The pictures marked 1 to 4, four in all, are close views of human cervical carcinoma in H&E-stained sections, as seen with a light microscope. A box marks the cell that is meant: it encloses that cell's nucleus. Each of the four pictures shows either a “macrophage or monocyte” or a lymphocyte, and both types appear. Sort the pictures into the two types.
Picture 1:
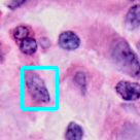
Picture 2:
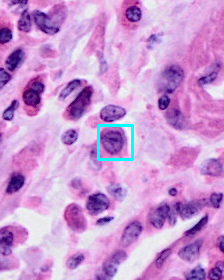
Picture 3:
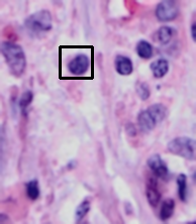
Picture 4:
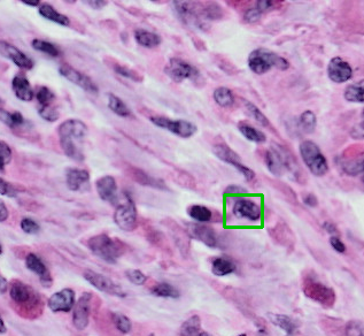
1: macrophage or monocyte
2: macrophage or monocyte
3: lymphocyte
4: lymphocyte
